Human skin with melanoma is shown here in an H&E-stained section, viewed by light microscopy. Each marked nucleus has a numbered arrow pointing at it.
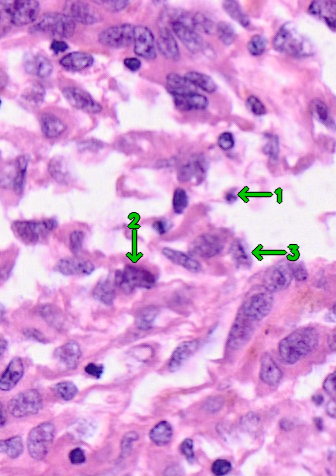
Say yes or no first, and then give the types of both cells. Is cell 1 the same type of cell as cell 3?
No, cell 3 is a melanoma cell, but cell 1 is a lymphocyte.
